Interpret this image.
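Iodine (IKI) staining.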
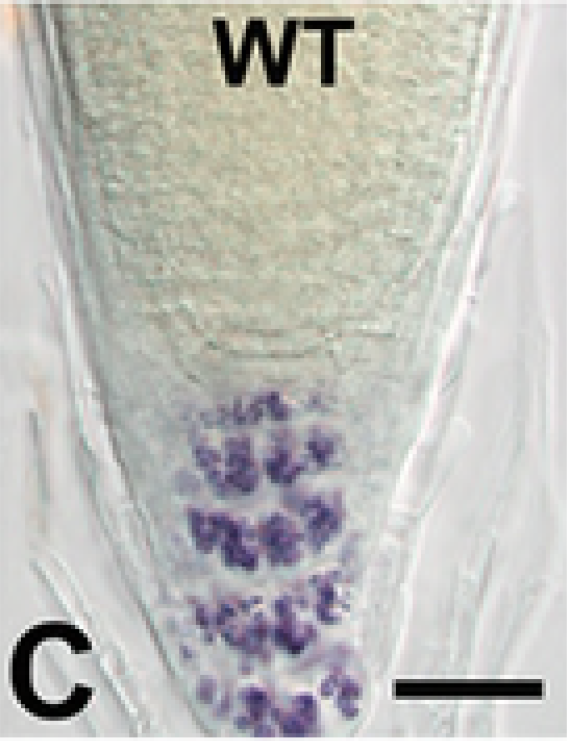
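This is the tip of a root, with the columella at the centre of the root cap. The stained tiers lie directly below the unstained, finely textured meristem.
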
